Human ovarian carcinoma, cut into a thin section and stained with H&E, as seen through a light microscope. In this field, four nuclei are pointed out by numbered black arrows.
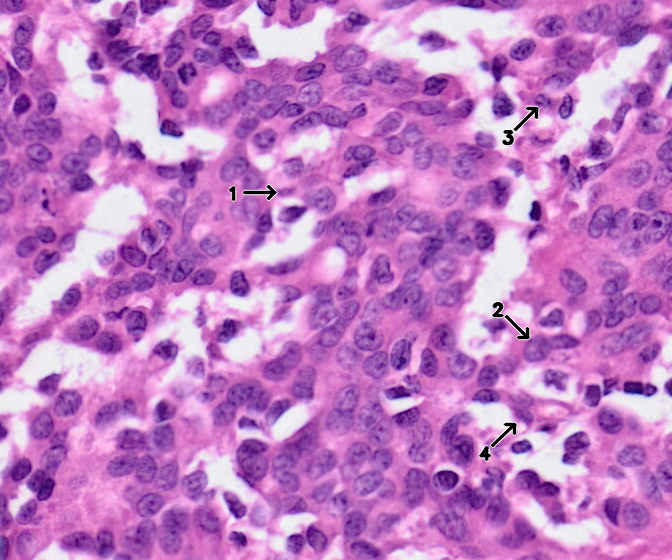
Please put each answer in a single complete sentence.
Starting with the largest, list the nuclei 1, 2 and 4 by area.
Going from the biggest nucleus down to the smallest gives 2, 4, 1.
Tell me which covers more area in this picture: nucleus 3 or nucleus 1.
Of the two, number 3 is bigger and takes up about 2 times the area of number 1.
